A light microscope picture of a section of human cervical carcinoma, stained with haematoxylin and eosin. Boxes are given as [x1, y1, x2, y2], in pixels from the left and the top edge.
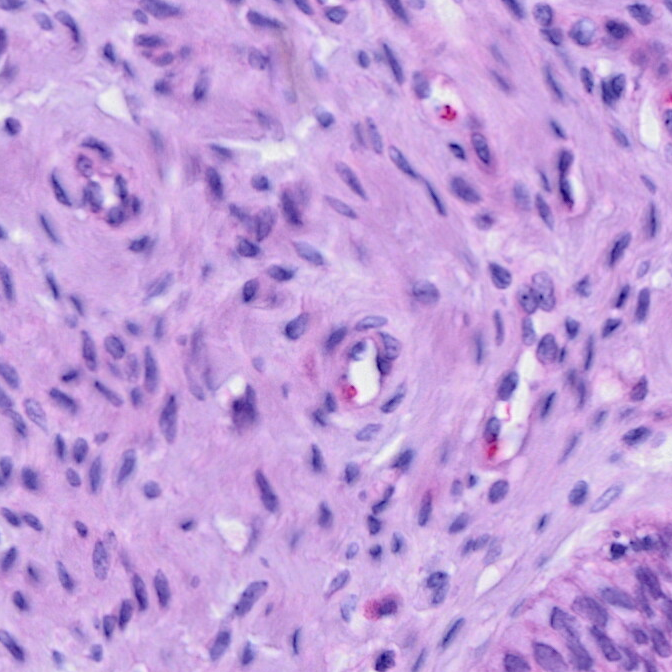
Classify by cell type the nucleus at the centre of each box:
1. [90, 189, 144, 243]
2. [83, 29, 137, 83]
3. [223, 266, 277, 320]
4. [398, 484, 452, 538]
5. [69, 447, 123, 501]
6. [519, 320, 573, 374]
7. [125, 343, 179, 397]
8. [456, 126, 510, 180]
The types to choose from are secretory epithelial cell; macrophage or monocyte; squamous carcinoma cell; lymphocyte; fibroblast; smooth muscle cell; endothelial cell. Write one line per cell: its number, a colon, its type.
1: endothelial cell
2: fibroblast
3: fibroblast
4: fibroblast
5: fibroblast
6: endothelial cell
7: fibroblast
8: endothelial cell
